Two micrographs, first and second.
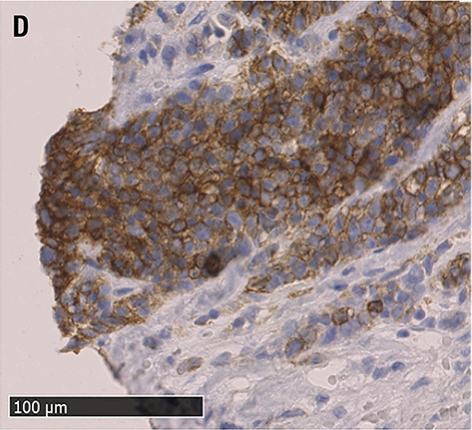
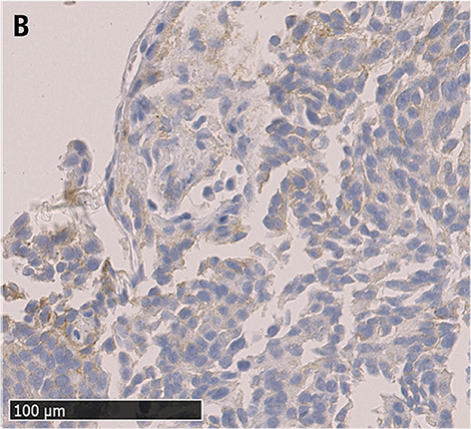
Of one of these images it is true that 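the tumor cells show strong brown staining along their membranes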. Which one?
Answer: The first image.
